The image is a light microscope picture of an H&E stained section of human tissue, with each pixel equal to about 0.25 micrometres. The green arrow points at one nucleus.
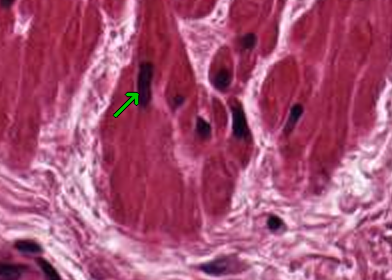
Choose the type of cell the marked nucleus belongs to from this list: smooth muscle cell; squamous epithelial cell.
smooth muscle cell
